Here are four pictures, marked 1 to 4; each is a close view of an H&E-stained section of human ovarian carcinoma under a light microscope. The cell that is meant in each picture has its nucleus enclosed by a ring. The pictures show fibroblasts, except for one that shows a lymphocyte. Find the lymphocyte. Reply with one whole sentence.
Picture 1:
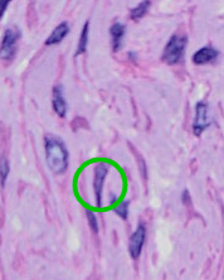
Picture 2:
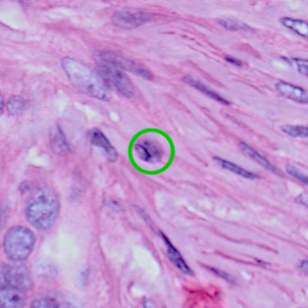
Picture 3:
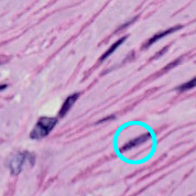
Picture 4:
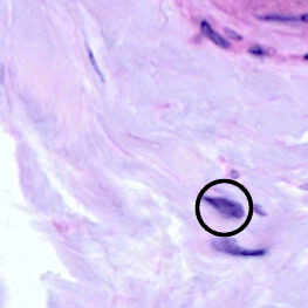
Picture 2 shows the lymphocyte.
